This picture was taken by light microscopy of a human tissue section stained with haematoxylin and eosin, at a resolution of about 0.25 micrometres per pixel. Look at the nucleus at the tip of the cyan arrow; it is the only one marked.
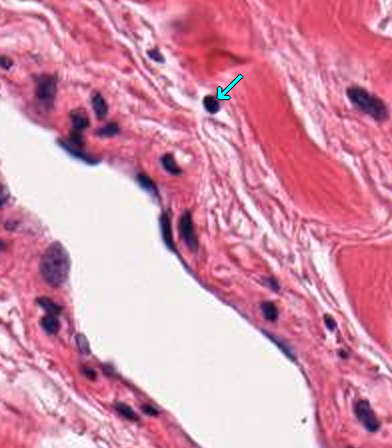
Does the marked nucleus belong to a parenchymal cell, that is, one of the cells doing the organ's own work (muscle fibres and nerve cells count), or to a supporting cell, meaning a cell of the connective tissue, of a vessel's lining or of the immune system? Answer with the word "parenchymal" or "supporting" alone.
supporting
